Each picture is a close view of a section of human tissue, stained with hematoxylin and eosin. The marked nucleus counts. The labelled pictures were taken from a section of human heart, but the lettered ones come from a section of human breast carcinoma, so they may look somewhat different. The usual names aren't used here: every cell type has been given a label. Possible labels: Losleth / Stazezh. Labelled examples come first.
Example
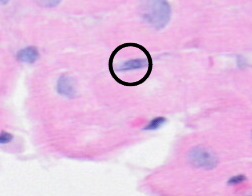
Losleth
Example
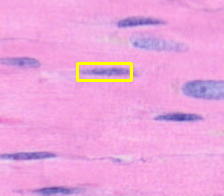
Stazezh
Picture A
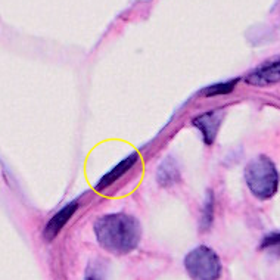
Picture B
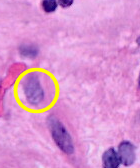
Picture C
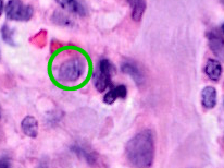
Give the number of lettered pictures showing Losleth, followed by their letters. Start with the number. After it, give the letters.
3, namely A, B, C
